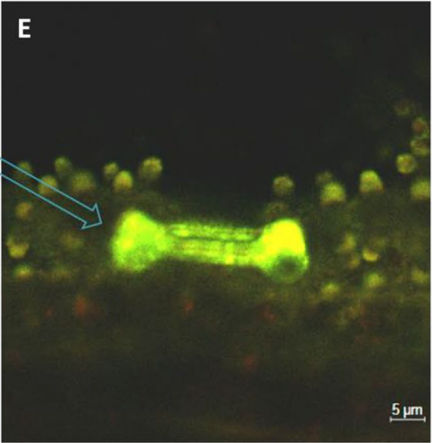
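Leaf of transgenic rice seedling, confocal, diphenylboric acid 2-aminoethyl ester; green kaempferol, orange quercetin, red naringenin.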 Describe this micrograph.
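The guard cells fluoresce bright yellow-green, strongest at the swollen ends, with fine lines running lengthwise through the narrow centre. Rounded yellow-green bodies lie in rows beside and above the stoma against a dark background.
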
